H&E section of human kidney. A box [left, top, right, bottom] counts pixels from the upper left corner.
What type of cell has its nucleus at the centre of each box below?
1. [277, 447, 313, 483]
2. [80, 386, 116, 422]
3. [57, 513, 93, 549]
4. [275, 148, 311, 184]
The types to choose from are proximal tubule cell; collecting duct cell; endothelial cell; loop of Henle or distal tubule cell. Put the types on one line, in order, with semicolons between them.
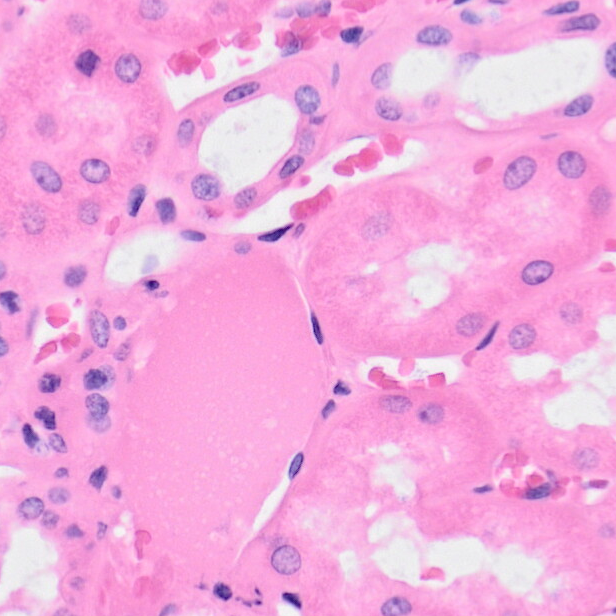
endothelial cell; collecting duct cell; collecting duct cell; collecting duct cell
